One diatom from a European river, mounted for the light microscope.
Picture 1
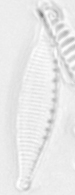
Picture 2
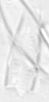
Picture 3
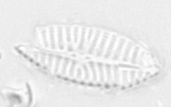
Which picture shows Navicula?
Picture 3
